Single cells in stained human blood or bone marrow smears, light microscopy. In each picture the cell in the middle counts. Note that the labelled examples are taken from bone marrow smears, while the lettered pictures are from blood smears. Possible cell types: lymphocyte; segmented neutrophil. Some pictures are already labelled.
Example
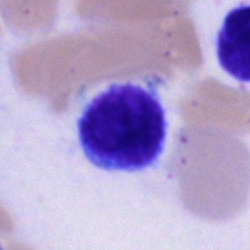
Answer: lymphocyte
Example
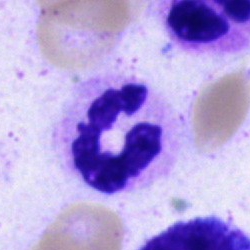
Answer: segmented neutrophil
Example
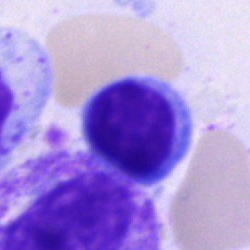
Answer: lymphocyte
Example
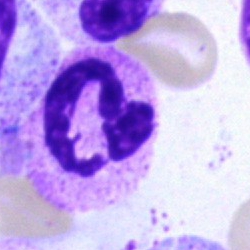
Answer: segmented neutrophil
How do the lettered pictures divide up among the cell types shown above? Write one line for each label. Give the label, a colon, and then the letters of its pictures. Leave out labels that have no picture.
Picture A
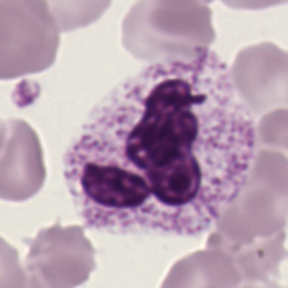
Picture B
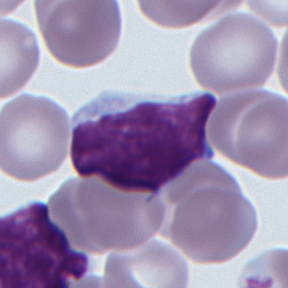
lymphocyte: B
segmented neutrophil: A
